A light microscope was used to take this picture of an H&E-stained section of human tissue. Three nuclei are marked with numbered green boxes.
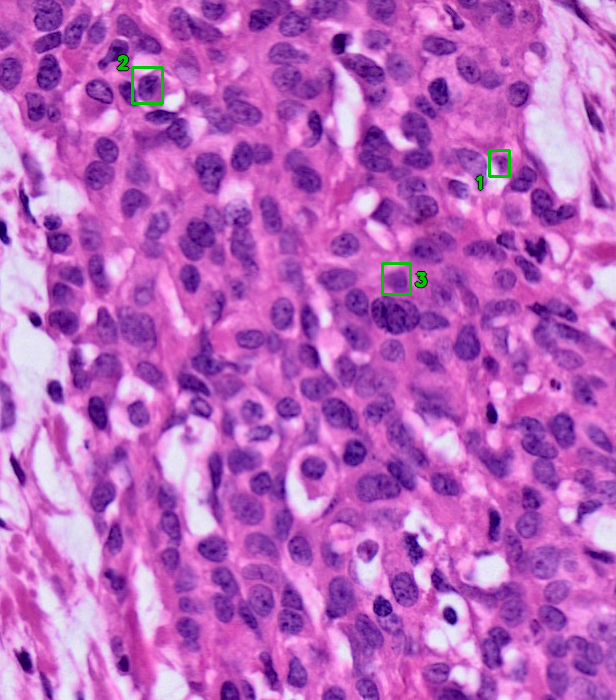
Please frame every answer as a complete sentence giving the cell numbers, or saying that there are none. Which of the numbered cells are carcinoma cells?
The nucleus numbered 3 is the only one that belongs to a carcinoma cell.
